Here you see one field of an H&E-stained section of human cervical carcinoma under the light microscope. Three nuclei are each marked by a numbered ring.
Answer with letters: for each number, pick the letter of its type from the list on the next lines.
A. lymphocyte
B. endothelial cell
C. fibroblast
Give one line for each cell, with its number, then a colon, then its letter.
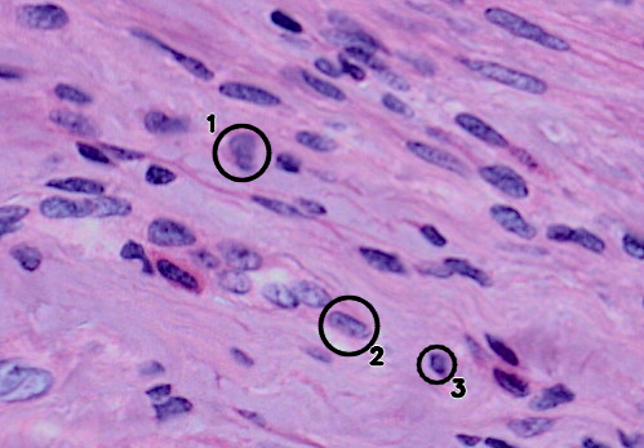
1: C
2: B
3: C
